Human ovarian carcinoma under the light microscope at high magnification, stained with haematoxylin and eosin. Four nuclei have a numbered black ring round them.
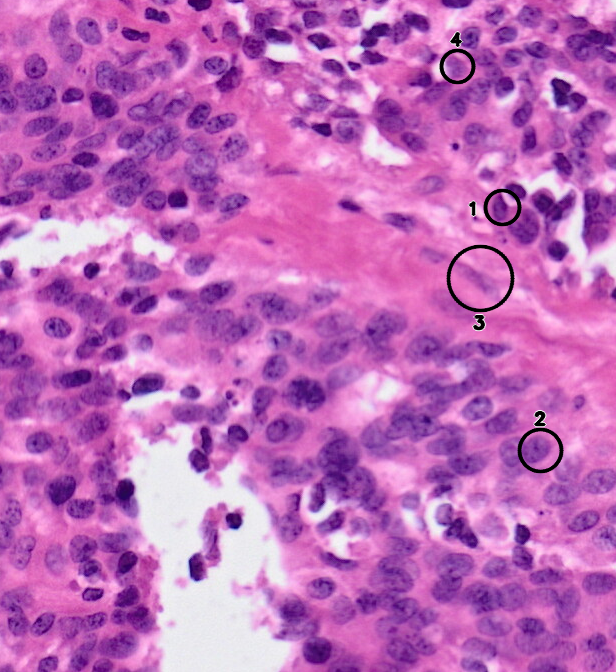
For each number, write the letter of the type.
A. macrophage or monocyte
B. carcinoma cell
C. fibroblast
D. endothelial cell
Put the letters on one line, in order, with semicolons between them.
B; B; C; B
